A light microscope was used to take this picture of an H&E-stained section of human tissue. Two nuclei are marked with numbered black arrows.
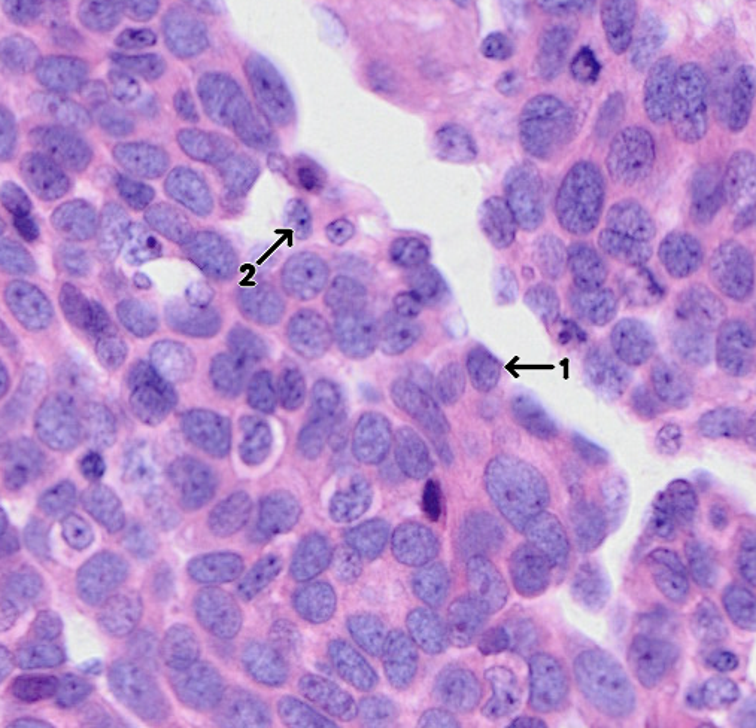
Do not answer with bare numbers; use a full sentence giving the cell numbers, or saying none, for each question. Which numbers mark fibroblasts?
The numbered set holds no fibroblasts whatsoever.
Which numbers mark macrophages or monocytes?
Cell 2 is a macrophage or monocyte and is the only numbered cell of that kind.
